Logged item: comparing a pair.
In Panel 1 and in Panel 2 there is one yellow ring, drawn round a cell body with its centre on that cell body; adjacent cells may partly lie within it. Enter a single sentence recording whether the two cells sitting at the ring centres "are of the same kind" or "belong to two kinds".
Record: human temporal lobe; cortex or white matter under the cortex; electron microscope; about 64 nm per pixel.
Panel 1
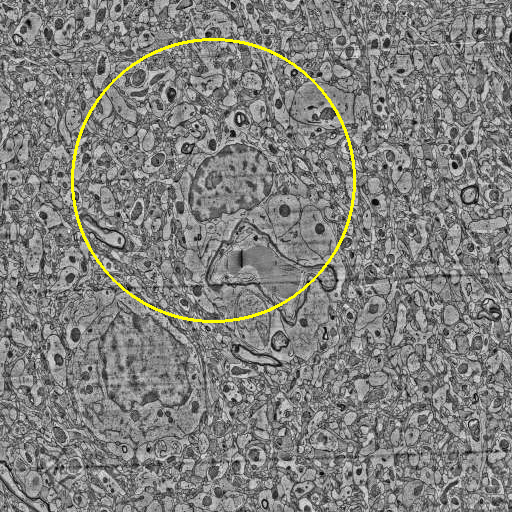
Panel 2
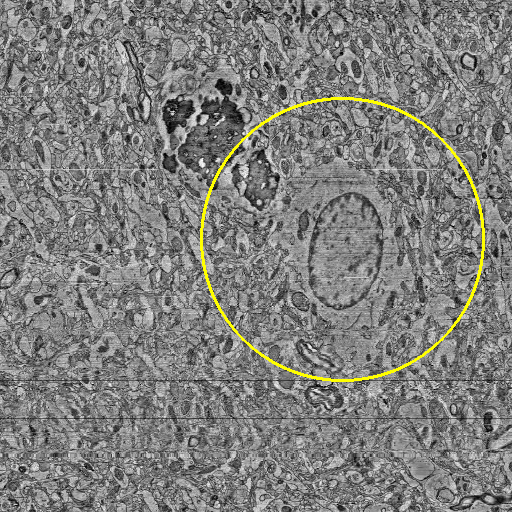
Logged: the cells centred in the rings of Panel 1 and Panel 2 belong to two kinds.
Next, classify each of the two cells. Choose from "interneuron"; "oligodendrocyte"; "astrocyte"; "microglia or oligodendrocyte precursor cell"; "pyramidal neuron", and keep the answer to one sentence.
In the first picture it is a microglial cell or oligodendrocyte precursor cell; in the second it is an astrocyte.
